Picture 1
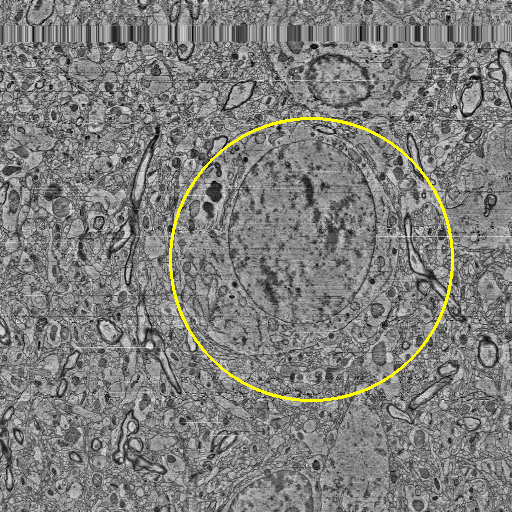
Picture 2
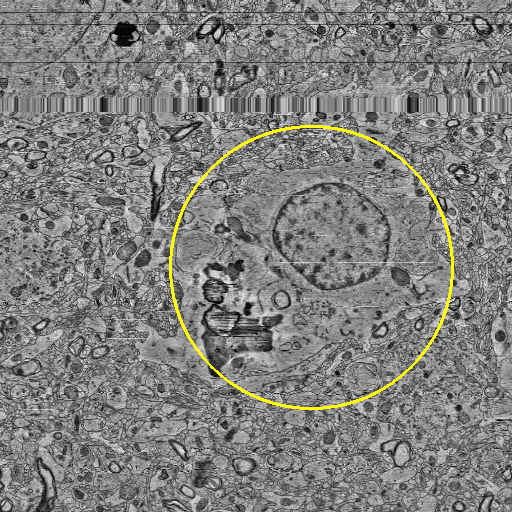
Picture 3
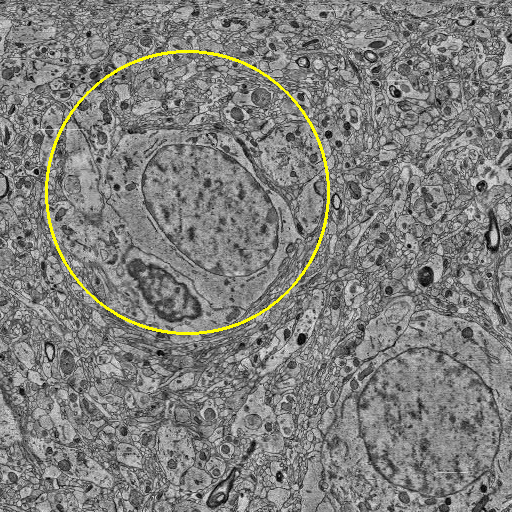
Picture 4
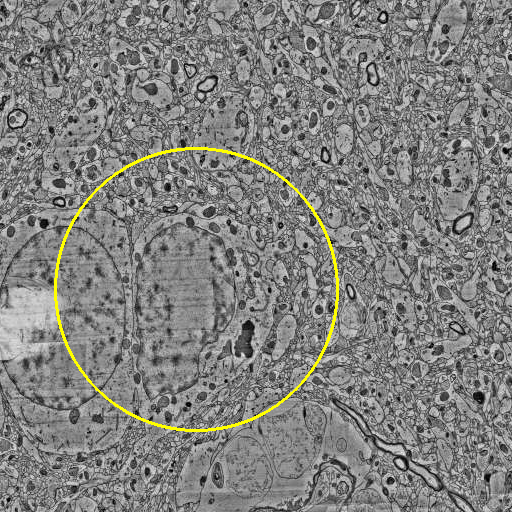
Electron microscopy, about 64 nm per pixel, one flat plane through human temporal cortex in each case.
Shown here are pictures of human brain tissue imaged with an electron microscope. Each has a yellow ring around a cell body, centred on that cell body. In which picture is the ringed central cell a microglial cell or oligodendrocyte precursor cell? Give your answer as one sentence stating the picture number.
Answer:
My answer is picture 3, where the ringed cell at the centre is the one sought.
